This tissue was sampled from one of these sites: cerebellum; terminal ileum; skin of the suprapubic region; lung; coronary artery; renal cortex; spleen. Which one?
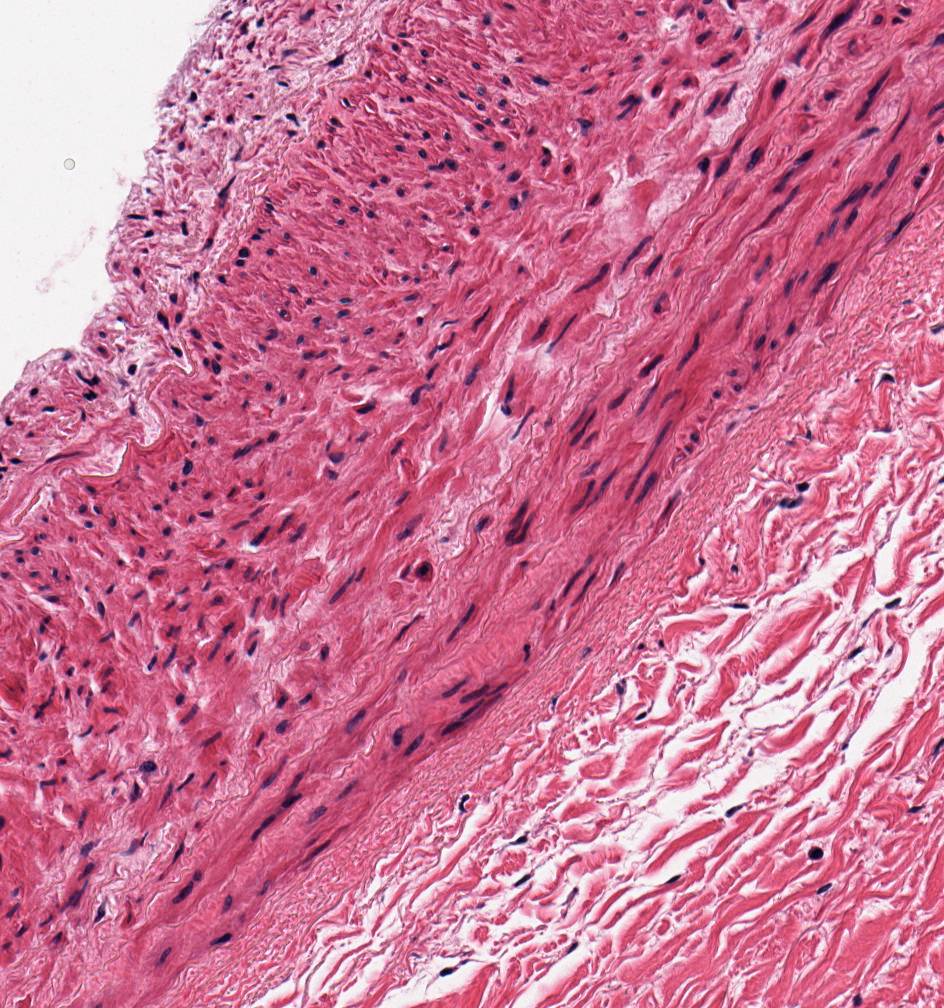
coronary artery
